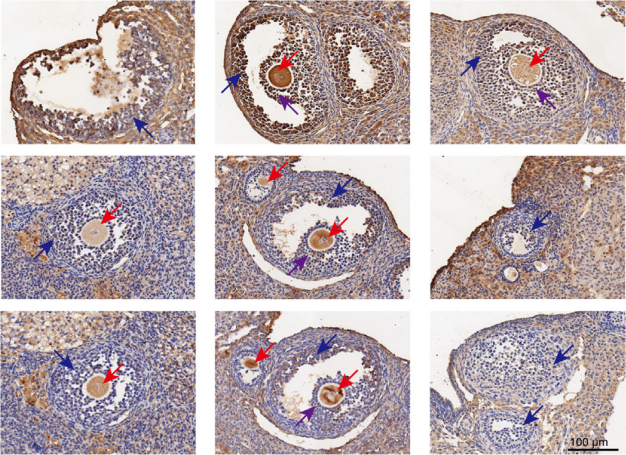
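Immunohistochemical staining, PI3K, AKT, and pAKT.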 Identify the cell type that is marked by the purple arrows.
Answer: Cumulus cells.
